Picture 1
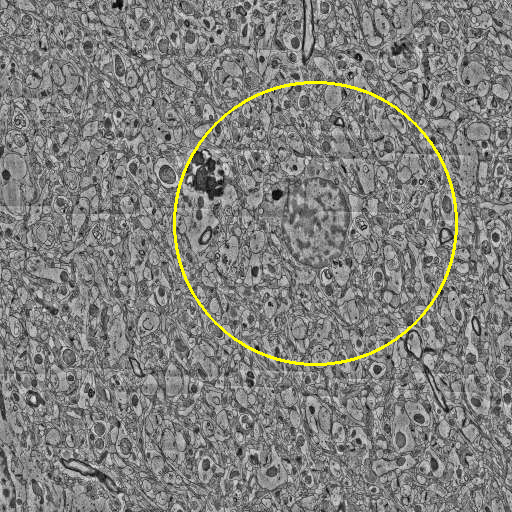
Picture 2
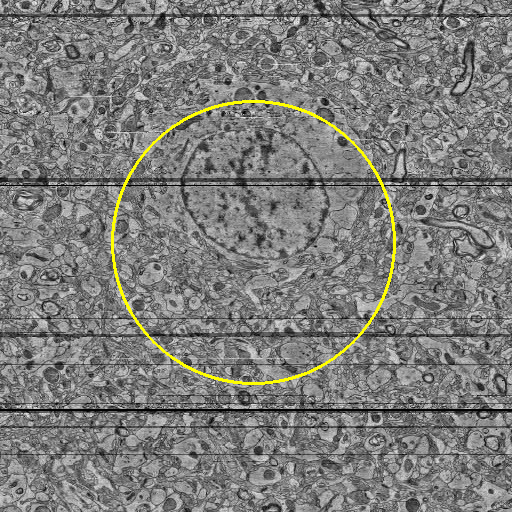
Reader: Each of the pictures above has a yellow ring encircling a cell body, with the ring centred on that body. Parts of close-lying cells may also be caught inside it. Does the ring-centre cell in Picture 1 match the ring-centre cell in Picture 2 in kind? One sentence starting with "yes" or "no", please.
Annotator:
No, Picture 1 and Picture 2 show ring-centre cells of two kinds.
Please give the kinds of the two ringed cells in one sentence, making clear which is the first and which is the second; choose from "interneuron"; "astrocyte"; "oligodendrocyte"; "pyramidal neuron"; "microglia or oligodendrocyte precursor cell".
In the second picture the ringed cell is an astrocyte; in the first it is an oligodendrocyte.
